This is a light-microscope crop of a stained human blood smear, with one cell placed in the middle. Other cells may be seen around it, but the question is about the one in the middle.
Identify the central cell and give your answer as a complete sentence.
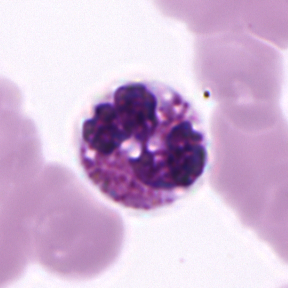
Where the crop is centred, there is an eosinophil.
